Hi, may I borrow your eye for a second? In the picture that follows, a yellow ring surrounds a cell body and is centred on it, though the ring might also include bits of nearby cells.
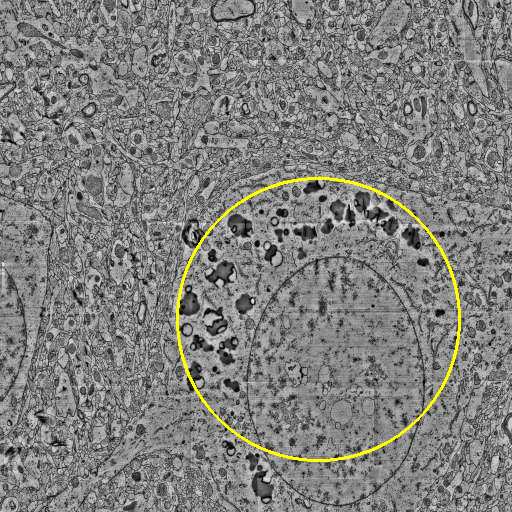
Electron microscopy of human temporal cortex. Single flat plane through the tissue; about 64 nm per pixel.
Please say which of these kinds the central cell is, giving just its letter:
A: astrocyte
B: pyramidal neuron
B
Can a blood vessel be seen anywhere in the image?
No, there is none.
